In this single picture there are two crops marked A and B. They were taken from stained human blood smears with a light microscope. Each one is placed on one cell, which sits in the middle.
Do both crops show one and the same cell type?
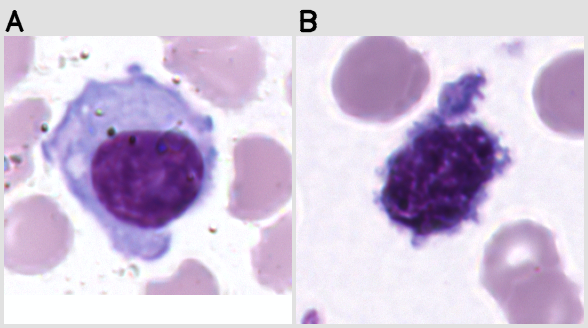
yes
